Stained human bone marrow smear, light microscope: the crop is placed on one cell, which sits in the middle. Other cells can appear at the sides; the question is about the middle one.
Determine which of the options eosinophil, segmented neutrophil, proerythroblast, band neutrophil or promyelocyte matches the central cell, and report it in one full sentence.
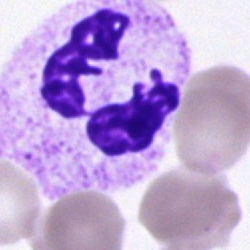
In the crop, the cell of interest at the centre is a segmented neutrophil.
